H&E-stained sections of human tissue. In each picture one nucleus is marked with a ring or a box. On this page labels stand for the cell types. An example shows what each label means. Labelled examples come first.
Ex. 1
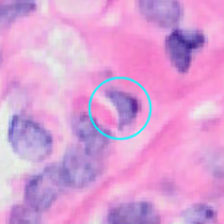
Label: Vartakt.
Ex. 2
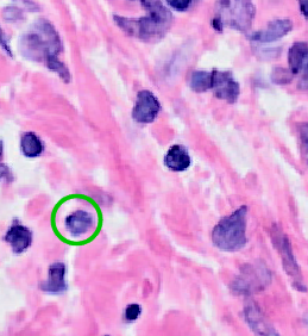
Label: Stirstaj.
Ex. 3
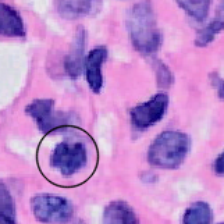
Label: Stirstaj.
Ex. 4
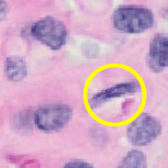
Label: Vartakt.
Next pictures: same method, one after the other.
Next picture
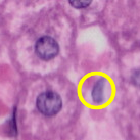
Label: Vartakt.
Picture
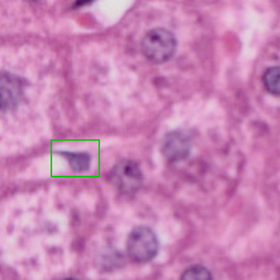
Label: Vartakt.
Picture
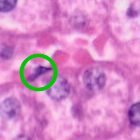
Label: Vartakt.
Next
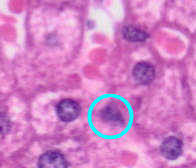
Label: Vartakt.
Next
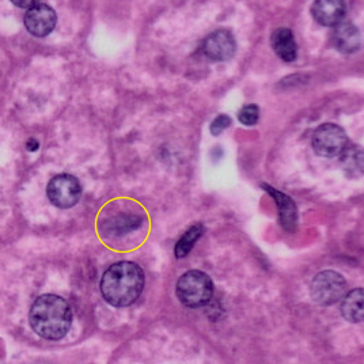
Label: Vartakt.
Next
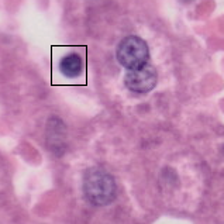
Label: Stirstaj.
